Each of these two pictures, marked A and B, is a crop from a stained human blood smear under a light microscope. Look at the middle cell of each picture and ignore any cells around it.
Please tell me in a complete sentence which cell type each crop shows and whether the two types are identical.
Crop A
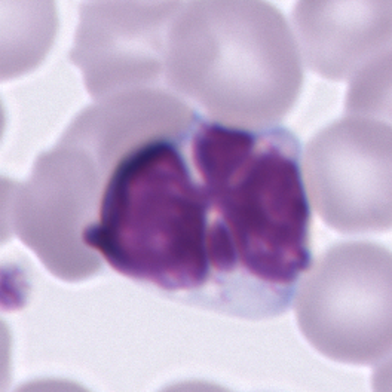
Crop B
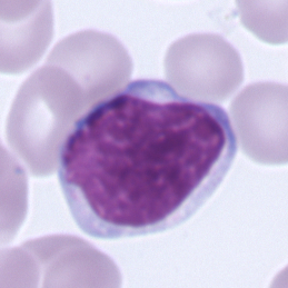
Yes, that is right, both crops show large granular lymphocytes.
